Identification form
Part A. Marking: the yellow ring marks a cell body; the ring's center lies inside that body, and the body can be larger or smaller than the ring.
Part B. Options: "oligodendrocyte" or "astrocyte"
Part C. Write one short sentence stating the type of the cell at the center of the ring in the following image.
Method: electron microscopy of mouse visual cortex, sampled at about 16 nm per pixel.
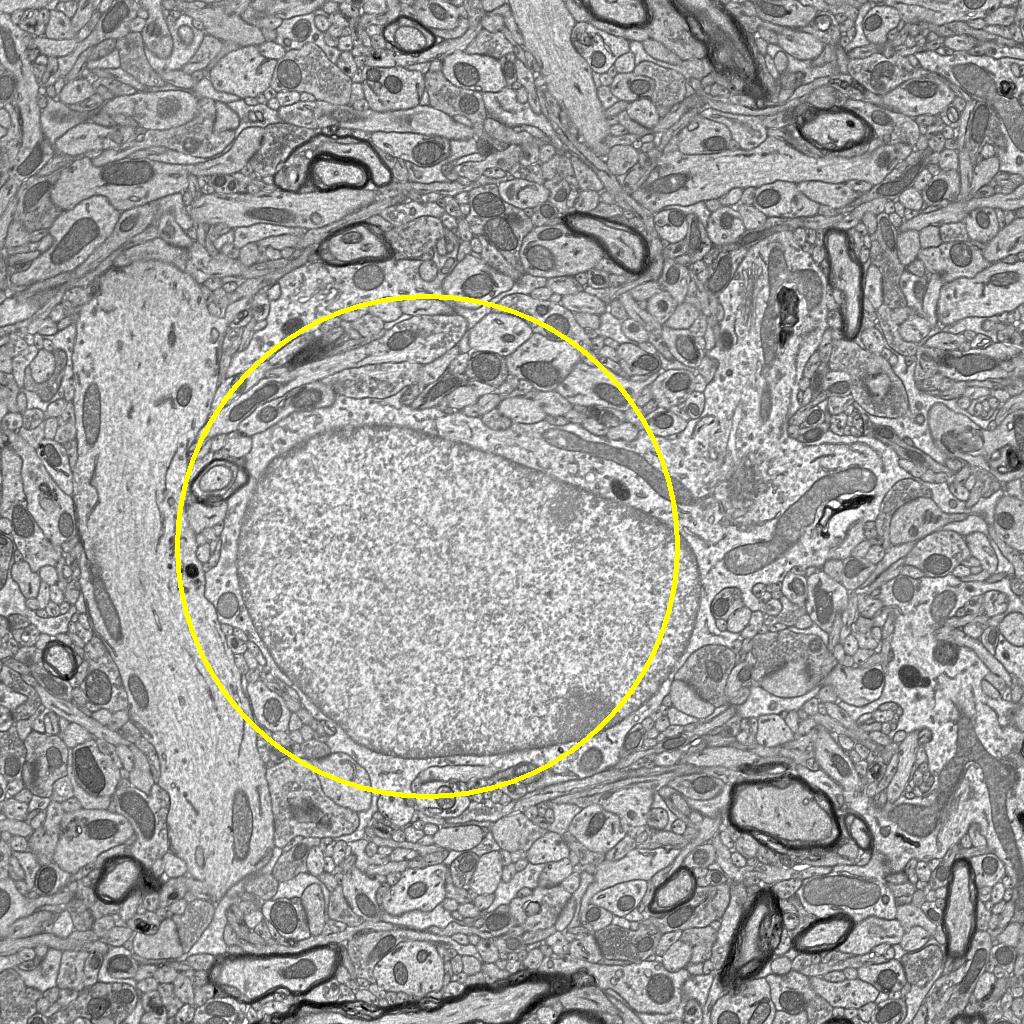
The center of the ring holds an astrocyte.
